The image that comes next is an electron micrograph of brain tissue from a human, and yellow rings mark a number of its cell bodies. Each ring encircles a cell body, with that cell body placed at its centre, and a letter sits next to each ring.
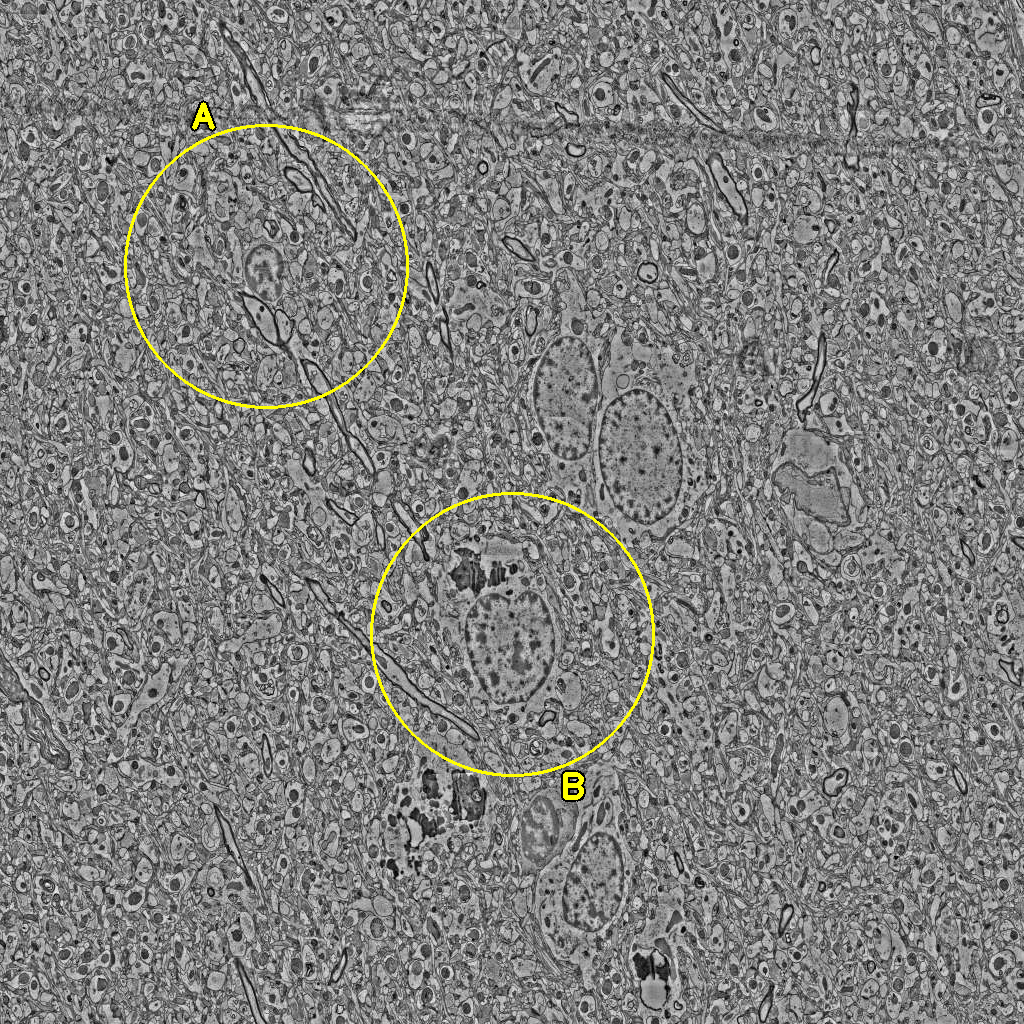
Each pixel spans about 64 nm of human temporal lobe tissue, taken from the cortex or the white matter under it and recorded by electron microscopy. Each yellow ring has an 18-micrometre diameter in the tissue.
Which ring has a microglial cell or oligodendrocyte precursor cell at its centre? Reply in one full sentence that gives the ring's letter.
In the image, ring A has the cell the question asks for at its centre.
